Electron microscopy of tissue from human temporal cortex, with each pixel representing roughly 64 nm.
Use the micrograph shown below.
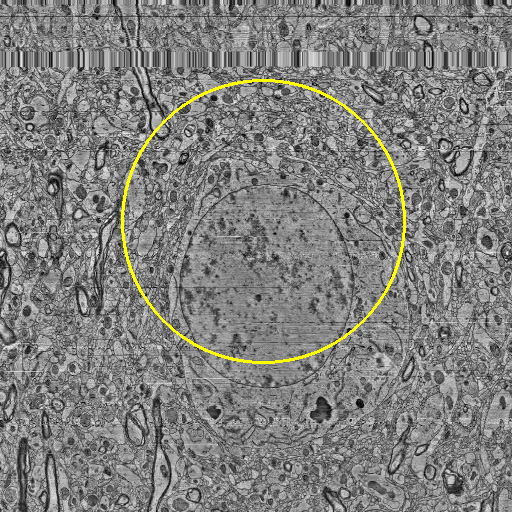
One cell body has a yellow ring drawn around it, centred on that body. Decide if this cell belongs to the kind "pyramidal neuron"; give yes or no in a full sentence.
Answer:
Yes, the cell lying at the ring's centre in the micrograph is of the kind given.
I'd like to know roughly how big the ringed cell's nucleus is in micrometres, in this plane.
In this plane the nucleus spans approximately 13 by 12 micrometers.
